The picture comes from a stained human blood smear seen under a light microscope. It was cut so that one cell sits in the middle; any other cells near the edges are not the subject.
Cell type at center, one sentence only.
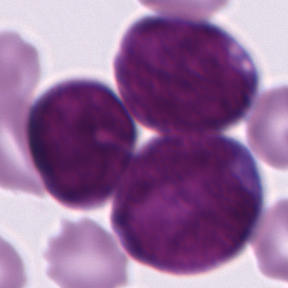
Classified as a myeloblast is the cell in the middle of this crop.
